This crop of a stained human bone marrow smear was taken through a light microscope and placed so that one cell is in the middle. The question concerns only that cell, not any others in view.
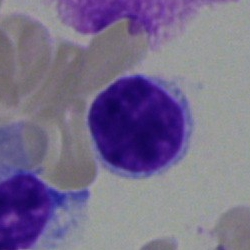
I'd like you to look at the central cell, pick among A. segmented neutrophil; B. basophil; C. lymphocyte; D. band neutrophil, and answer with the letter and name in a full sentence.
Option C is accurate; the centrally placed cell is a lymphocyte.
